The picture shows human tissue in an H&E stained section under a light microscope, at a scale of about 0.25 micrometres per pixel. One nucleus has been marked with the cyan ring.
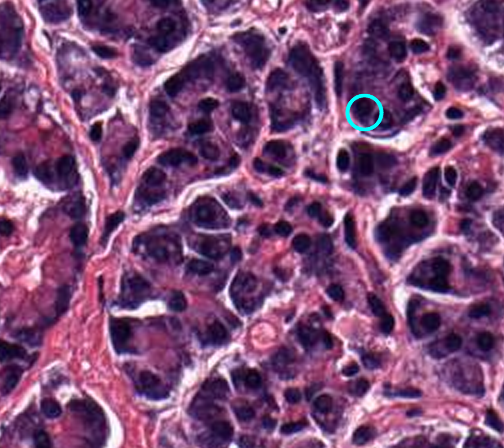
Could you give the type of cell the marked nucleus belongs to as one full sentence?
Within a pancreatic acinar cell lies the marked nucleus.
